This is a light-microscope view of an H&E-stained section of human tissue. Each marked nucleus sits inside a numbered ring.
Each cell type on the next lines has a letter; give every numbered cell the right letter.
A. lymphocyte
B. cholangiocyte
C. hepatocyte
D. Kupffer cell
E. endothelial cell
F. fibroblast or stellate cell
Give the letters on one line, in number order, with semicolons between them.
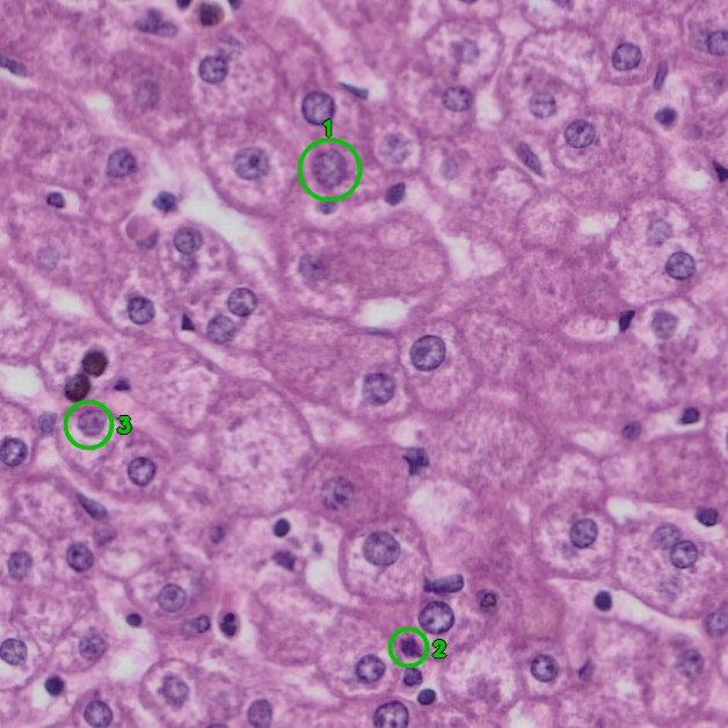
C; F; C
